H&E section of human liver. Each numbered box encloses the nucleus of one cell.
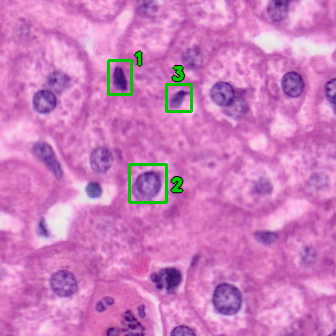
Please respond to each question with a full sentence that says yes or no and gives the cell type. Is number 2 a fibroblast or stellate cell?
No, cell 2 is a hepatocyte and should not be called a fibroblast or stellate cell.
